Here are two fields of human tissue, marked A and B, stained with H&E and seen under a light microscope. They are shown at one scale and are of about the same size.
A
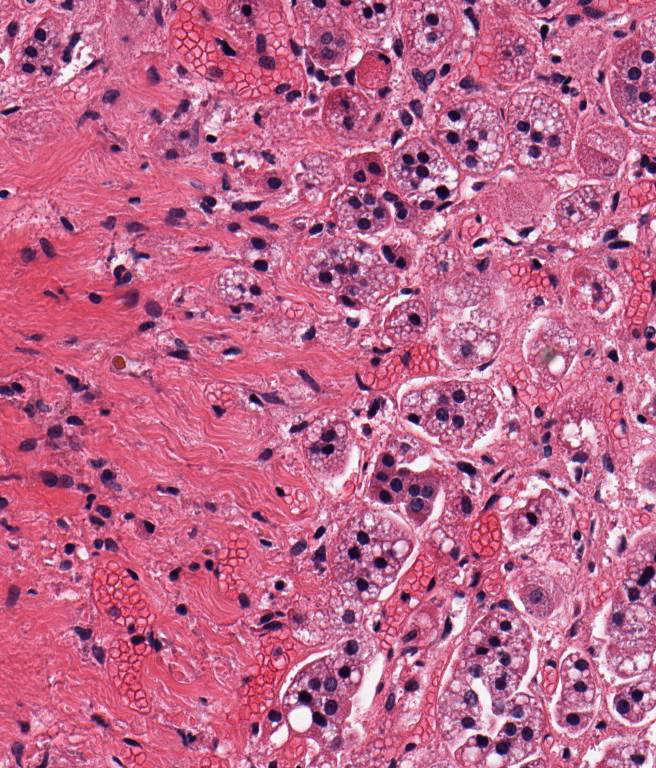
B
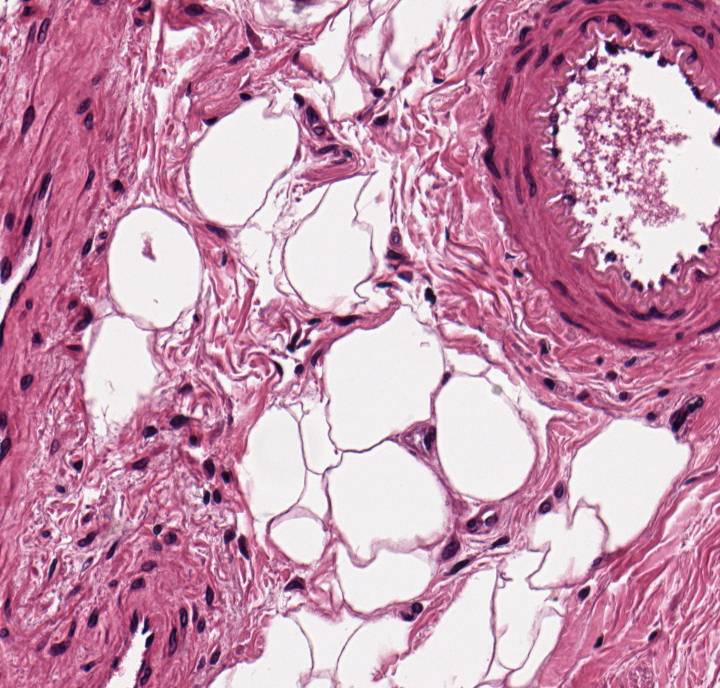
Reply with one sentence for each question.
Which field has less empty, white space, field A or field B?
Field A has less white space.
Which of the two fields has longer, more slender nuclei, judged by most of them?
It is field B whose nuclei are the more elongated.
